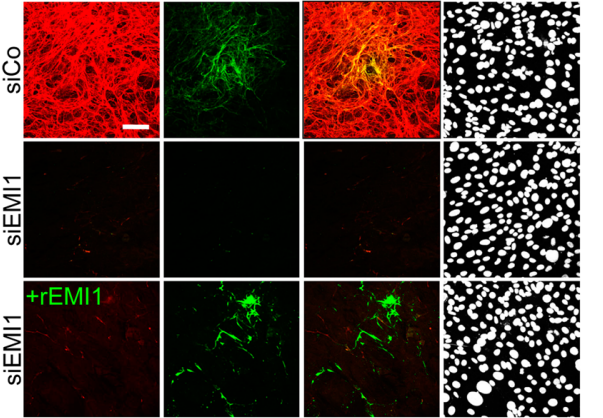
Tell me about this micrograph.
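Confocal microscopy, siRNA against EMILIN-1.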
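In the top row a dense, interwoven meshwork of fine red fibres covers the whole field, and green fibres run along part of it, so that the overlay shows yellow where they coincide. In the middle row the red and green fibres are almost absent and only a few faint red specks remain. In the bottom row the red is faint, while short green fibres and a small tangled cluster appear in patches. Across all rows the white nuclei are densely packed, oval and evenly spread.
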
